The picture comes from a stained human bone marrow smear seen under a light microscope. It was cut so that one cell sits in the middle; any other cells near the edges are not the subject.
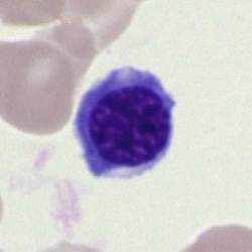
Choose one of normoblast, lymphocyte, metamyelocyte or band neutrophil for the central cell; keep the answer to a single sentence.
The single cell at the center of the crop is a normoblast.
